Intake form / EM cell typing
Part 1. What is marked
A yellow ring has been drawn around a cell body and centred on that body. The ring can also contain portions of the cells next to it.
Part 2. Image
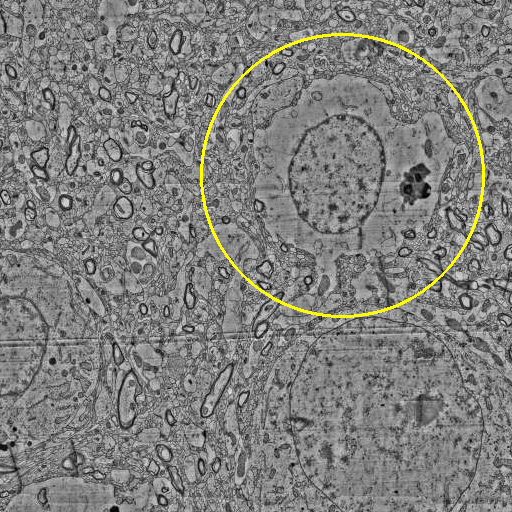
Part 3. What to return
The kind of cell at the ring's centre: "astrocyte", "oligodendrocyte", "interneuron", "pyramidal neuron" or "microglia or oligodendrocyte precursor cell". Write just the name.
astrocyte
